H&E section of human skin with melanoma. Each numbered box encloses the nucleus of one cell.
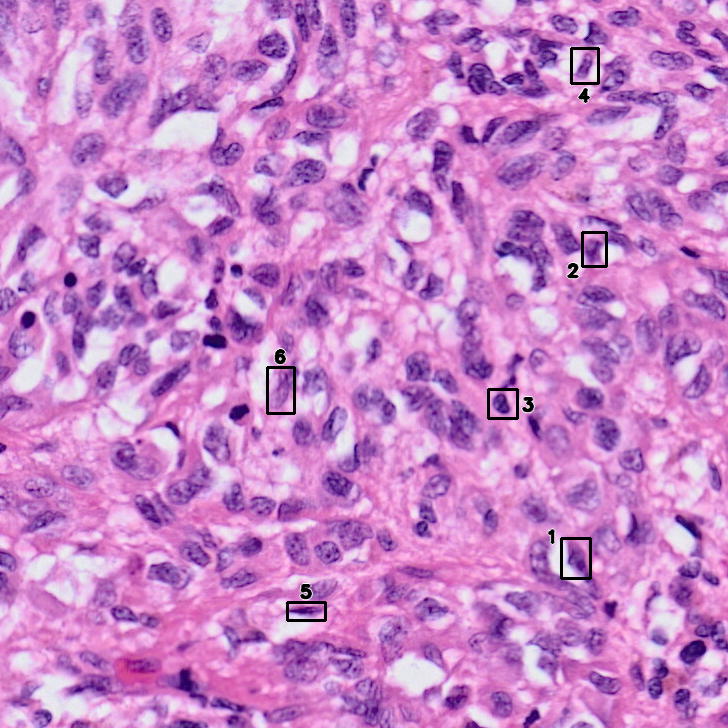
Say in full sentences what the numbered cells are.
Cells 1, 2, 4 and 6 are melanoma cells. Cell 3 is a lymphocyte. Cell 5 is a fibroblast or myofibroblast.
